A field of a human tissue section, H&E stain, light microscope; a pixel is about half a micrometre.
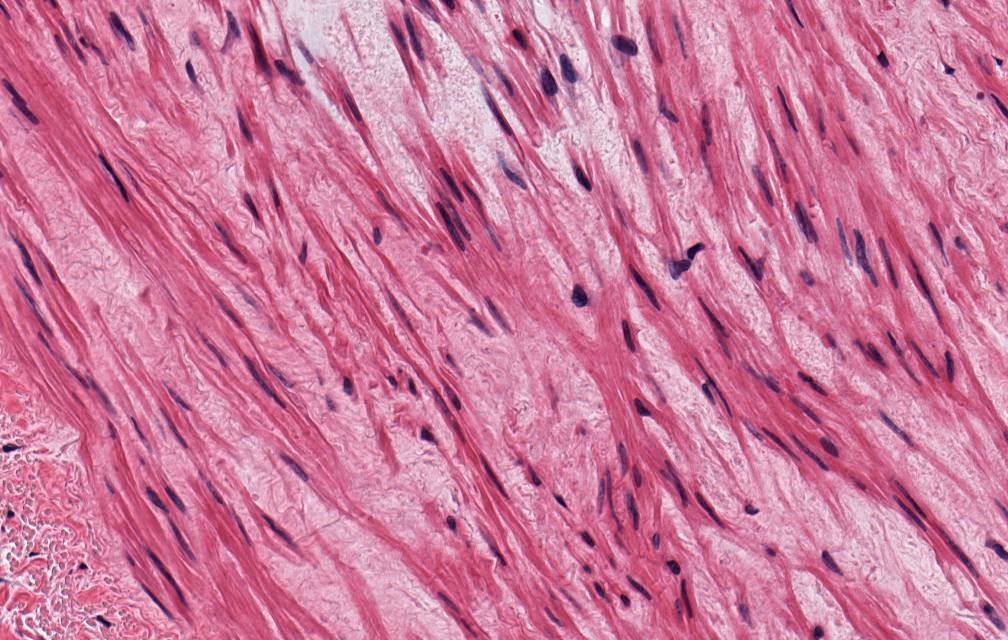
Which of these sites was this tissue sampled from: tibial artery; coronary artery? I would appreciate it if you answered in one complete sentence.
This tissue sample was collected from the tibial artery.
